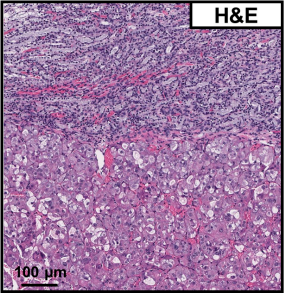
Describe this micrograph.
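Between the two a band of more compact, cell-rich tissue separates them. The tumor is made of large polygonal cells arranged in sheets and nests, many with abundant granular pink cytoplasm and others with paler, cleared cytoplasm. Their nuclei are round and set within a much larger cell body than in the tubules above, and fine pink vessels and strands run between the nests.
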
